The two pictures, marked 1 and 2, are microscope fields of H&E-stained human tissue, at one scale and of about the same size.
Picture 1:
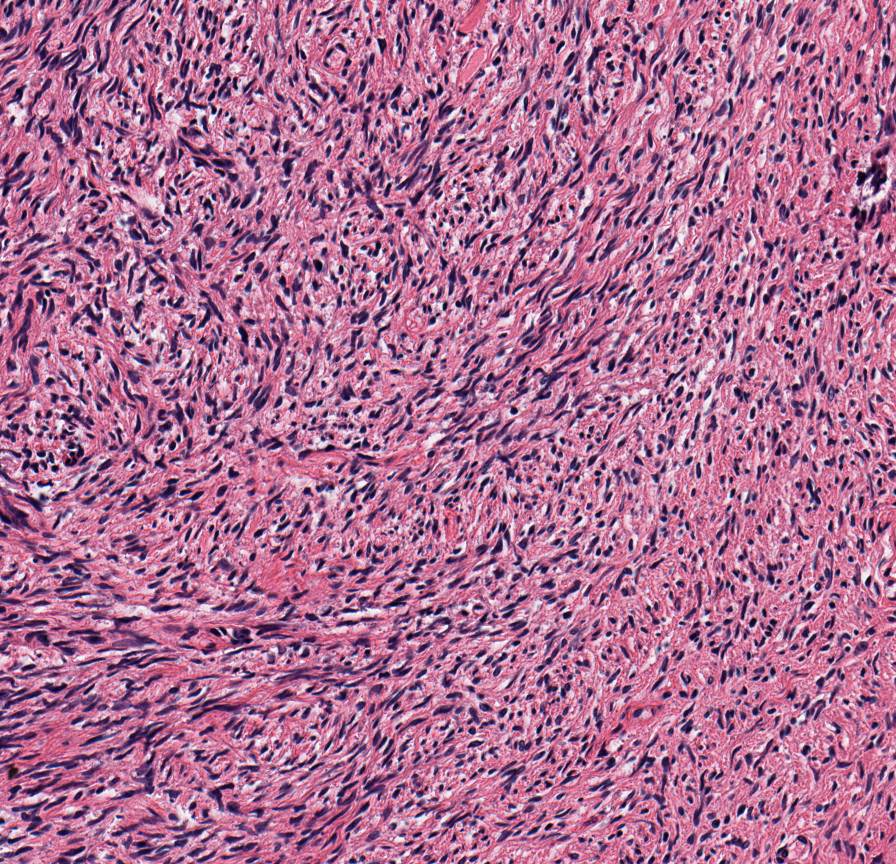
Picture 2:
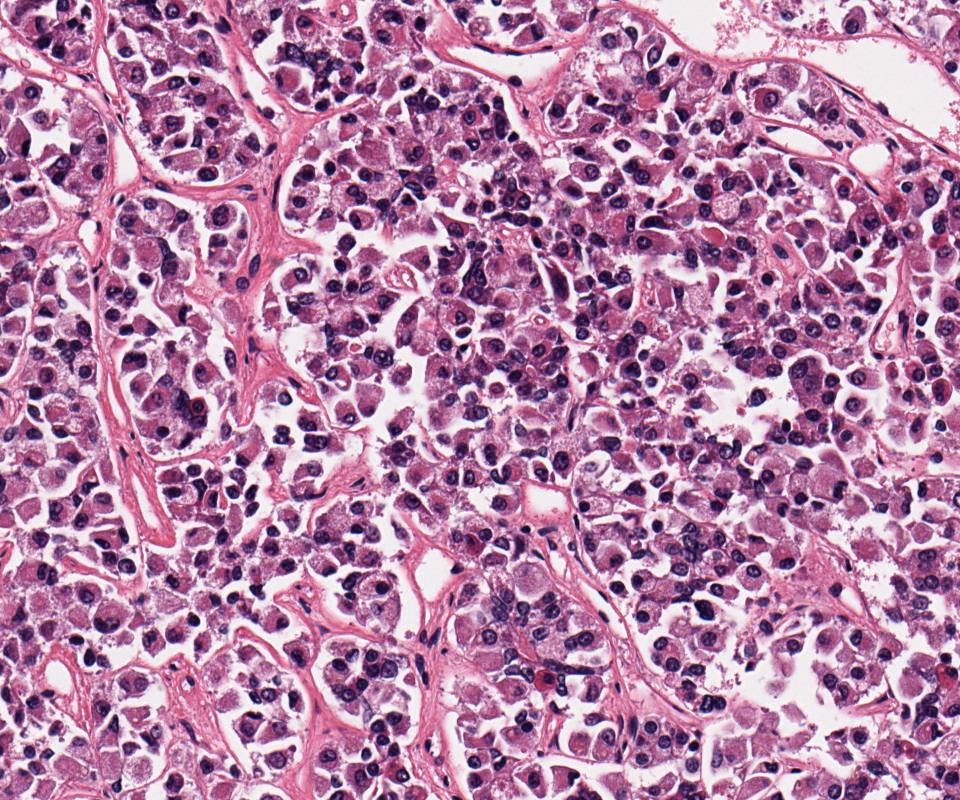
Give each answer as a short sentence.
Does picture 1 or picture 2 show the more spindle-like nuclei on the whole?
It is picture 1 whose nuclei are the more elongated.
